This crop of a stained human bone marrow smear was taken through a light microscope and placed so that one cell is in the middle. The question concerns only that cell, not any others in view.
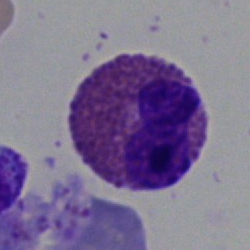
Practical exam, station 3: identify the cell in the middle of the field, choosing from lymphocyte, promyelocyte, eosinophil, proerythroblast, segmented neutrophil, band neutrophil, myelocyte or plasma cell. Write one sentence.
The cell centered in this field of view is an eosinophil.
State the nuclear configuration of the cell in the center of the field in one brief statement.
This cell has a nucleus made up of two or more segments.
